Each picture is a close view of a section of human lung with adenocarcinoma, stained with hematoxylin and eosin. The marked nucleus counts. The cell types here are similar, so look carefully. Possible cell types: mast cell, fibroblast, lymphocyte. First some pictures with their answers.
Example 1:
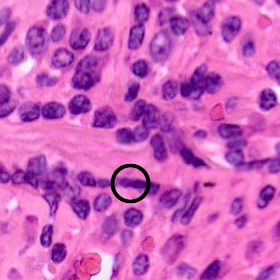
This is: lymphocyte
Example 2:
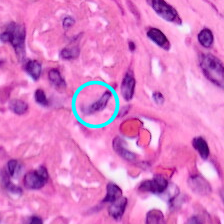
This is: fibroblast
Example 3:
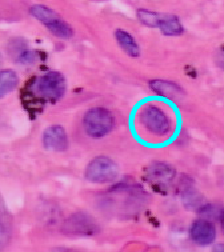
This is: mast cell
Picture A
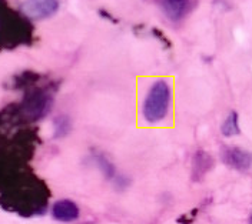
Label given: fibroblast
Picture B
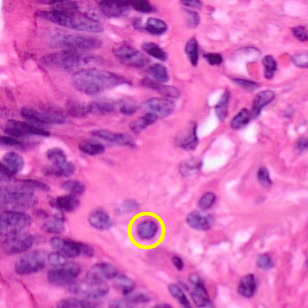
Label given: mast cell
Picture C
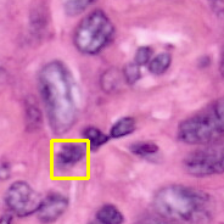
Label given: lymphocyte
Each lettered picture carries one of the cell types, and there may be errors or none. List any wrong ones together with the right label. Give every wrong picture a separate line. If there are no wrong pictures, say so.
Wrong: A (fibroblast); correct: mast cell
